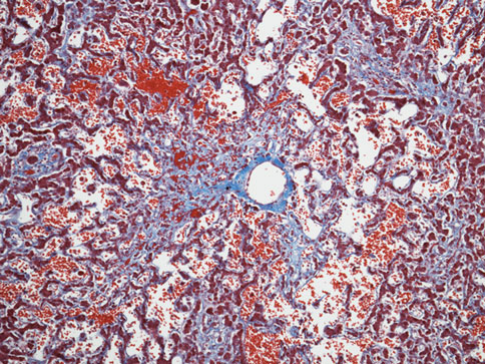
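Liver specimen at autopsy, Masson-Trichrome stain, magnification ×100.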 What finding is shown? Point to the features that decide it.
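The spaces between liver cell plates are widened. Many of these spaces are packed with bright red blood cells. The liver cell plates appear thinned between the widened spaces. So: marked sinusoidal dilation and congestion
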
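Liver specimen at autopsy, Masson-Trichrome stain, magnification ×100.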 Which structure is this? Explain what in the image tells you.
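A round, empty vessel lumen lies in the middle of the field. The vessel is rimmed by blue connective tissue.
Conclusion: central vein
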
